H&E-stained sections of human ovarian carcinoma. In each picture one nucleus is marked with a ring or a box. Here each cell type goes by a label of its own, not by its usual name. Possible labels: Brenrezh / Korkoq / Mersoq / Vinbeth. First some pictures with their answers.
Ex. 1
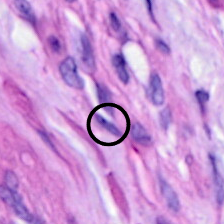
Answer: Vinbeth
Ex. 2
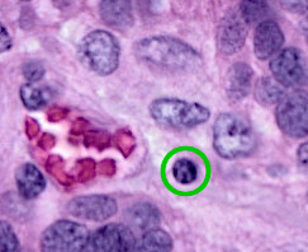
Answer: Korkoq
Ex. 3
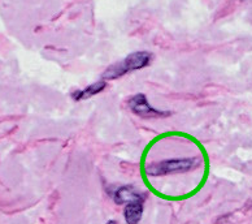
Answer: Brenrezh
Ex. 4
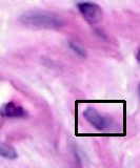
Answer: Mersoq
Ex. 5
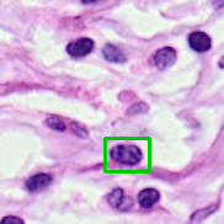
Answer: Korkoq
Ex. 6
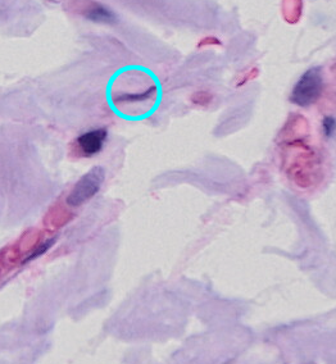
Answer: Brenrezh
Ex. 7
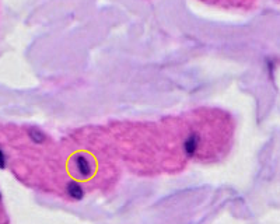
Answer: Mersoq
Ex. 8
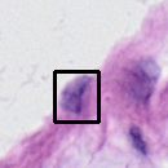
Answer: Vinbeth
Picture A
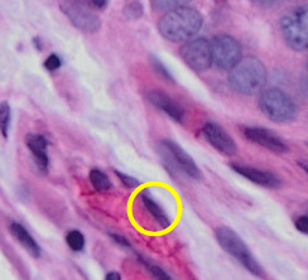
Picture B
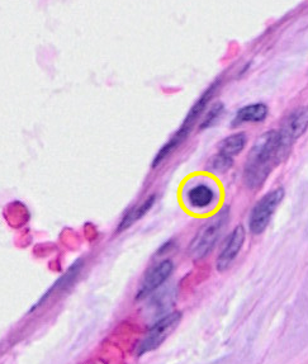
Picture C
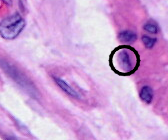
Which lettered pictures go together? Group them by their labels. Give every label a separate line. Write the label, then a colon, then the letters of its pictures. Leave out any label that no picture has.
Korkoq: B
Mersoq: C
Vinbeth: A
